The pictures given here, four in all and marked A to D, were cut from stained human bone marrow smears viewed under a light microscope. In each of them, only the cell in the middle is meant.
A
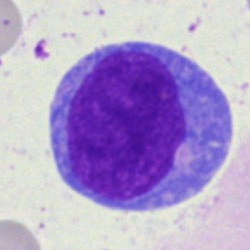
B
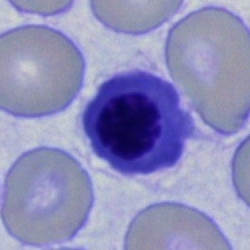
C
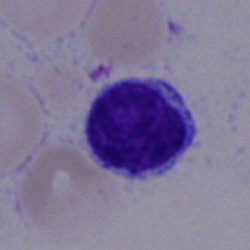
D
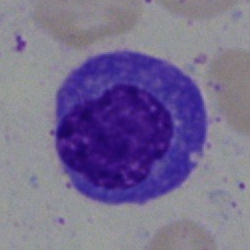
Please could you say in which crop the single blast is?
A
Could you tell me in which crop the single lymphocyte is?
C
